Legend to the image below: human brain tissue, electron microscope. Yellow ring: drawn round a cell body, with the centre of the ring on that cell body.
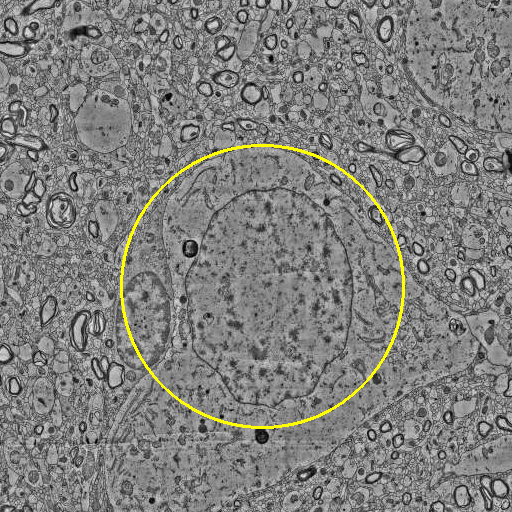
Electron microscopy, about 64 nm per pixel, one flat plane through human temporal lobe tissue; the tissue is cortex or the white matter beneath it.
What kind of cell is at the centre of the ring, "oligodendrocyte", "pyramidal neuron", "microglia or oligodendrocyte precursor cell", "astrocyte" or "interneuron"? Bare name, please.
pyramidal neuron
